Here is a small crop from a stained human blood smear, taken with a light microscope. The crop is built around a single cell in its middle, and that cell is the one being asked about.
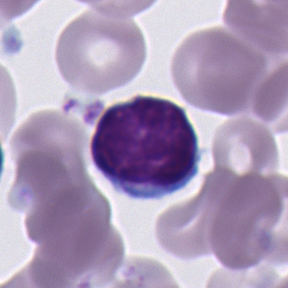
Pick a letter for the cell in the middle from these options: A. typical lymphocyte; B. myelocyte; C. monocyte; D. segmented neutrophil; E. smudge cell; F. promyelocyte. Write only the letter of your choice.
A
